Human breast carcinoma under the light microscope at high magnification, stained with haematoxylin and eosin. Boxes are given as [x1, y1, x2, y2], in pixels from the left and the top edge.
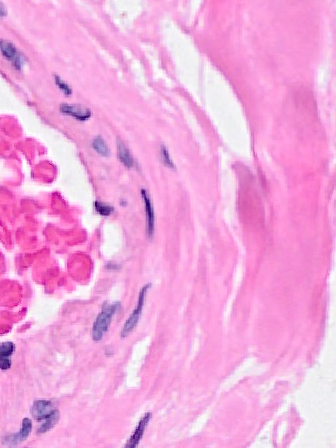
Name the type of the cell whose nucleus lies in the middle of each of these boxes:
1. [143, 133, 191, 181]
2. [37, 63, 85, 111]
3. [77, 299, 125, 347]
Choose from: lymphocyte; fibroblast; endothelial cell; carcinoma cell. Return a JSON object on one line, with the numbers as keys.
{"1": "fibroblast", "2": "endothelial cell", "3": "endothelial cell"}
